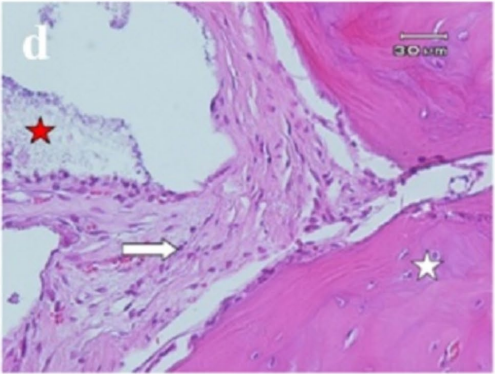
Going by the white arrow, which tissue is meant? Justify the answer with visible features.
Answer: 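A band of wavy fibres with spindle-shaped nuclei runs between the spaces and the pink matrix.
Connective tissue.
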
